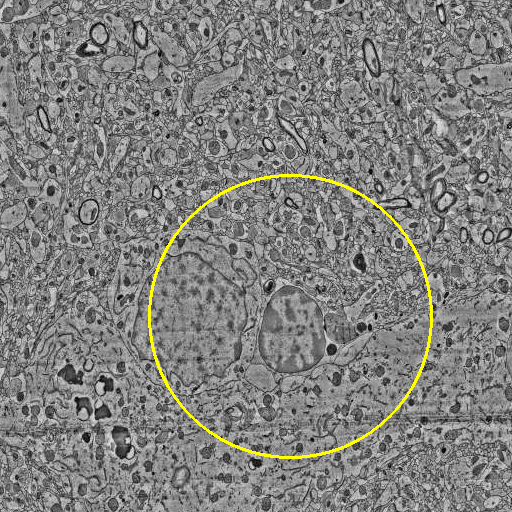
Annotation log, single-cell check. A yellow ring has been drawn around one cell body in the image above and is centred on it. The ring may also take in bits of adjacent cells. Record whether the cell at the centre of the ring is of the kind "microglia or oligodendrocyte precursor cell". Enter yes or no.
yes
